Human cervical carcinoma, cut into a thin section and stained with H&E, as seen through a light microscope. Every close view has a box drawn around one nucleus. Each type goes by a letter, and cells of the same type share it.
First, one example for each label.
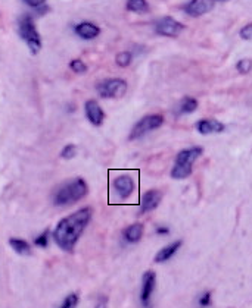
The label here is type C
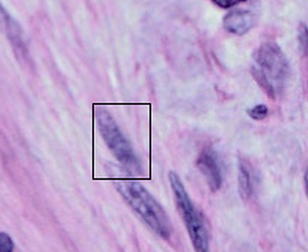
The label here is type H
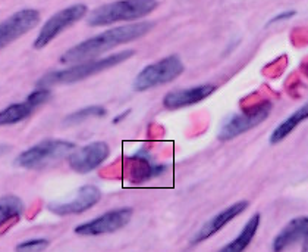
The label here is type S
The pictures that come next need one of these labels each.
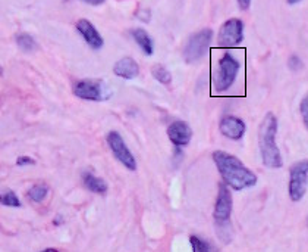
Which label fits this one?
type H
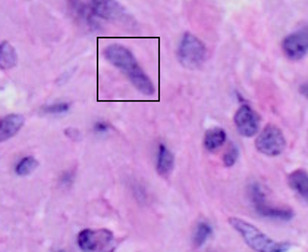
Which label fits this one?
type H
